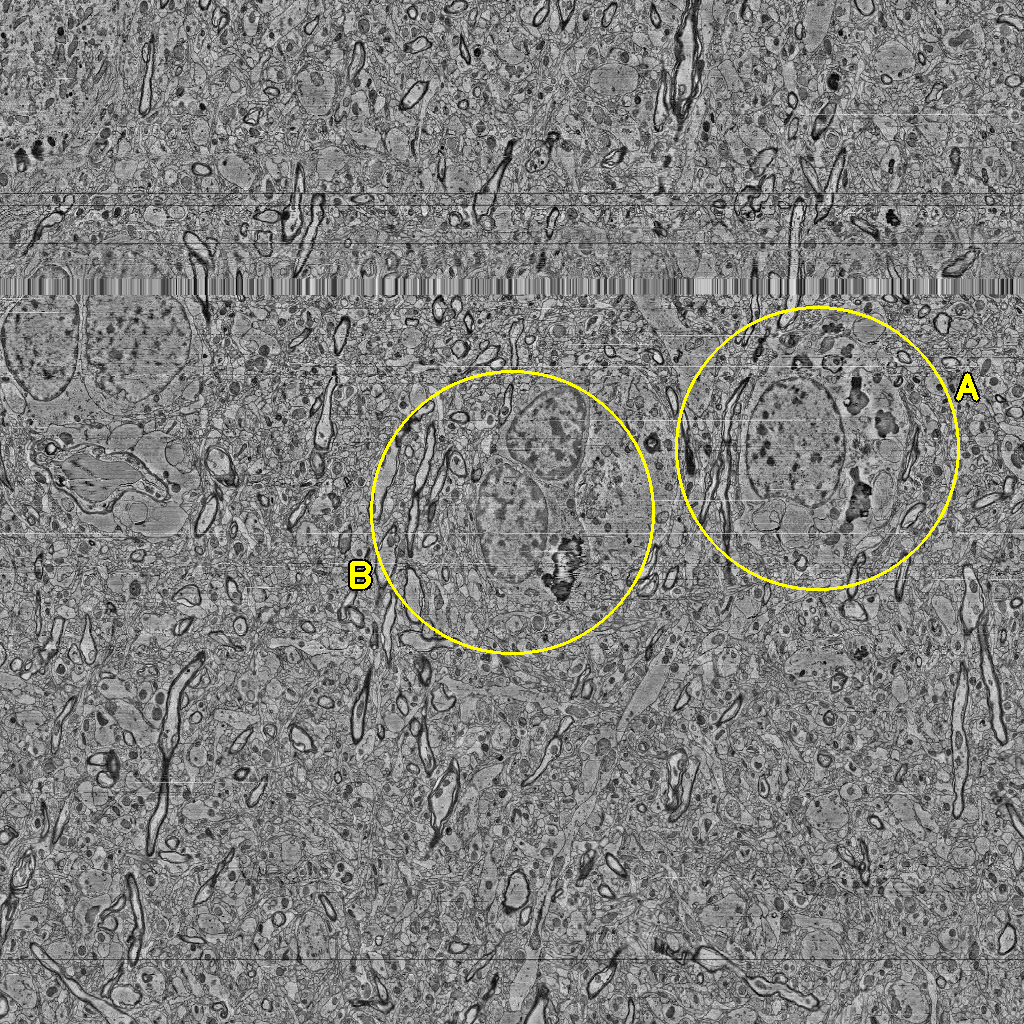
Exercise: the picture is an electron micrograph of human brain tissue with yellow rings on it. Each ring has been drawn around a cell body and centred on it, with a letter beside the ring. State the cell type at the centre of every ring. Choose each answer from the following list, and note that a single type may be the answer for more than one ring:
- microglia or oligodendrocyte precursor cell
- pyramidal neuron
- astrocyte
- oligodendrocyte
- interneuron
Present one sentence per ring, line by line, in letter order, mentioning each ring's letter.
Ring A shows an astrocyte at its centre.
Ring B shows an oligodendrocyte at its centre.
